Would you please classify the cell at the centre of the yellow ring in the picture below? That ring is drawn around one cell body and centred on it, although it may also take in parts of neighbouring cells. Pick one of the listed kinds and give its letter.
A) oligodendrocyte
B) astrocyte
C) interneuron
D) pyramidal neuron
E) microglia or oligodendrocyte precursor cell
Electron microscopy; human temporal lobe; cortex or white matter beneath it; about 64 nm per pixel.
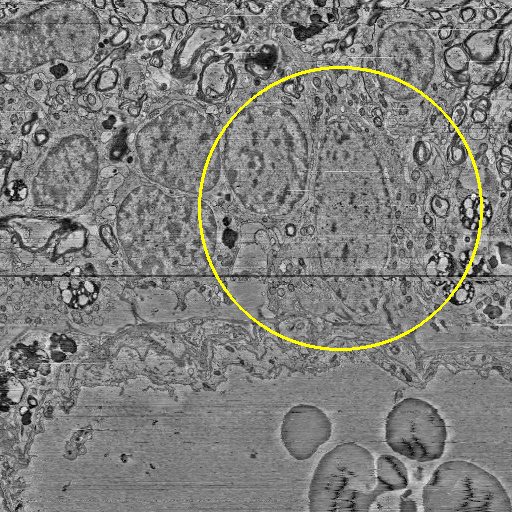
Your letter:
B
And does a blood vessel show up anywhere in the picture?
Yes, the image shows a blood vessel.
